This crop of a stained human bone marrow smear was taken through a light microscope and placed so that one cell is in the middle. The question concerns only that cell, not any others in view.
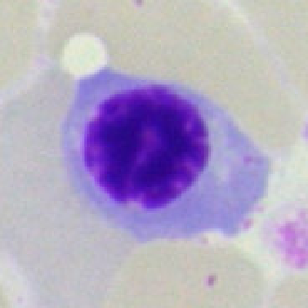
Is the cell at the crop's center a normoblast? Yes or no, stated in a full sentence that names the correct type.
Yes, the cell of interest in the centre is a normoblast.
